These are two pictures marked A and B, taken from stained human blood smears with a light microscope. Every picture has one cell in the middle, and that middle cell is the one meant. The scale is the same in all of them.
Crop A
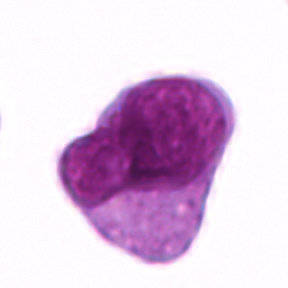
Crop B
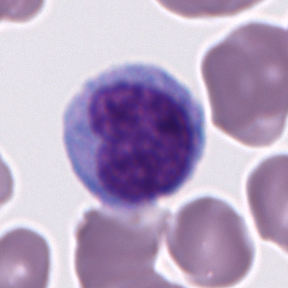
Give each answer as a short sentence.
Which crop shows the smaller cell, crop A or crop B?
It is the cell in crop B; the cell in crop A has about 1.5 times its area.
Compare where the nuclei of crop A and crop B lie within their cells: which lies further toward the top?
The nucleus in crop A lies further toward the top of its cell.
